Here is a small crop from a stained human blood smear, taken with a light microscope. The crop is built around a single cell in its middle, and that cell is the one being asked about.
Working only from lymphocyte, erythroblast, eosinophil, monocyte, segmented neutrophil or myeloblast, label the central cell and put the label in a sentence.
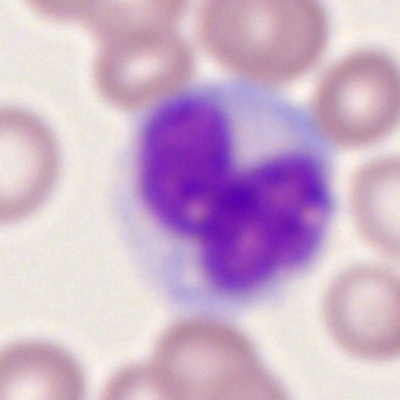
The centrally located cell in the crop is a monocyte.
